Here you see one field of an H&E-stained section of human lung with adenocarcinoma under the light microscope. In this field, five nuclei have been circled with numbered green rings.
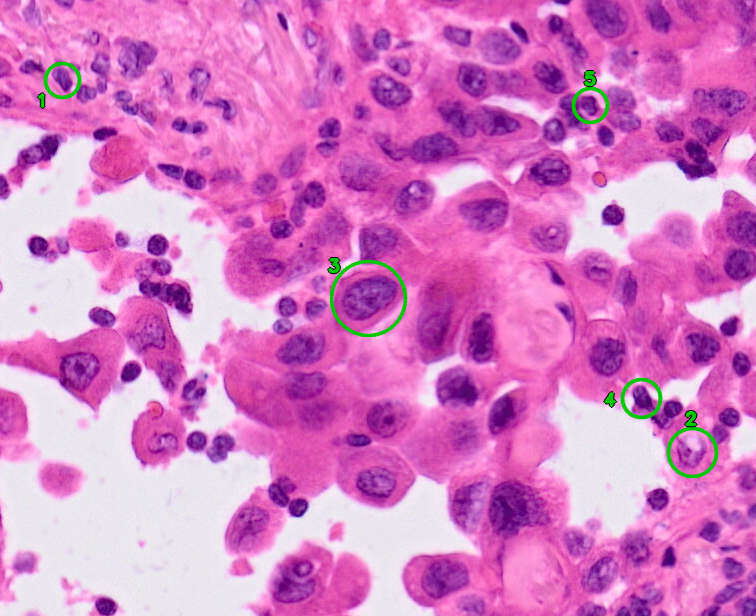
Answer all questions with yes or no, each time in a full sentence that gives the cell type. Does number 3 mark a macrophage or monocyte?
No, number 3 does not mark a macrophage or monocyte; it marks a carcinoma cell.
